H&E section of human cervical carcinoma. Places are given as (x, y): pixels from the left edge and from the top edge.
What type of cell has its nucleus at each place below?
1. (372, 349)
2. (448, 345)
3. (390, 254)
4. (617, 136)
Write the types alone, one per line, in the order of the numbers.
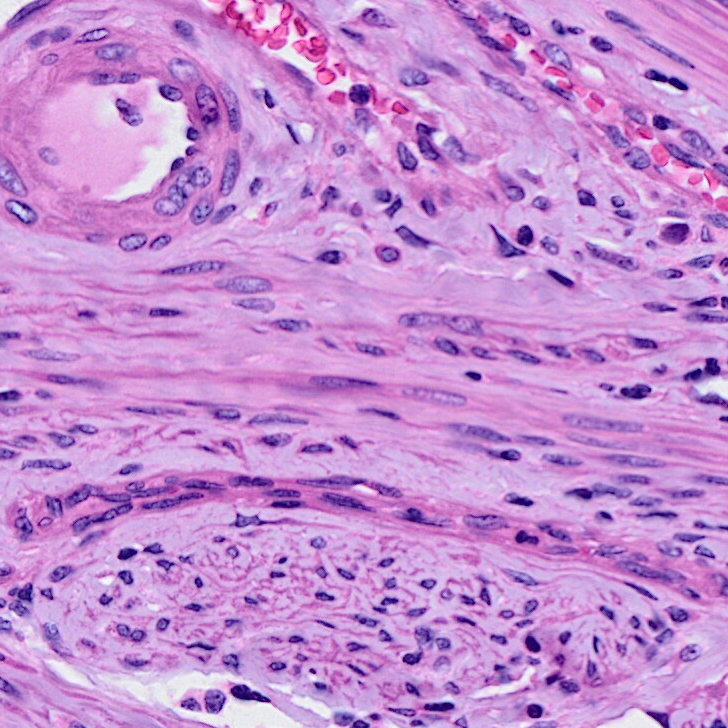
smooth muscle cell
smooth muscle cell
smooth muscle cell
endothelial cell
